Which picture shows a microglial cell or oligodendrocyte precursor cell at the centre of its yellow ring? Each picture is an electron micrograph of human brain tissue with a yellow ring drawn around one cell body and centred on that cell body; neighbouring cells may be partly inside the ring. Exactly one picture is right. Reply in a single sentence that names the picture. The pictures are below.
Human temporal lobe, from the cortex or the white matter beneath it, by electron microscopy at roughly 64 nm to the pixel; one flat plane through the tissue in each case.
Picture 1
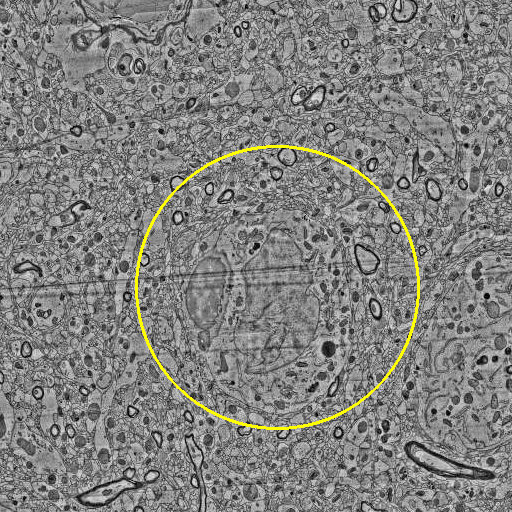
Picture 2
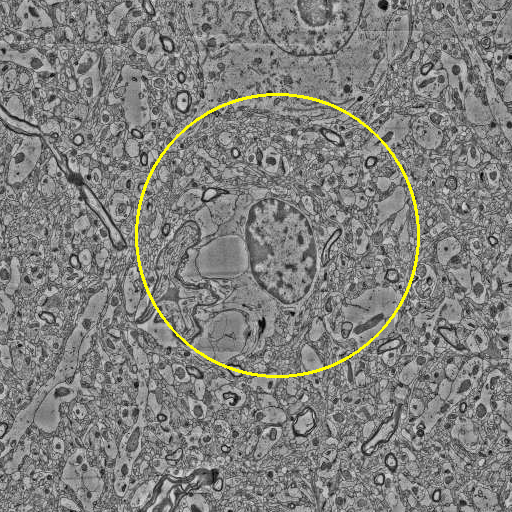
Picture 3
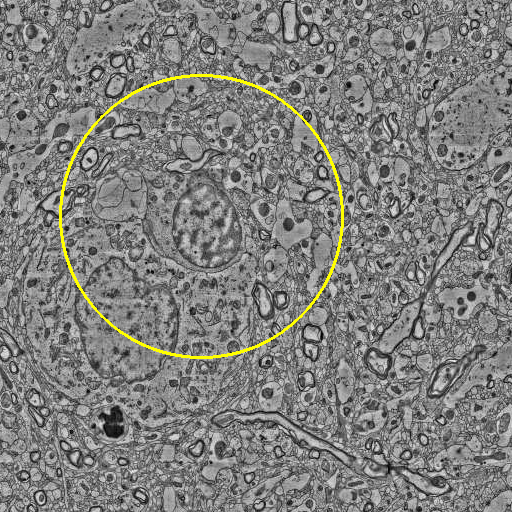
Picture 2 shows it.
